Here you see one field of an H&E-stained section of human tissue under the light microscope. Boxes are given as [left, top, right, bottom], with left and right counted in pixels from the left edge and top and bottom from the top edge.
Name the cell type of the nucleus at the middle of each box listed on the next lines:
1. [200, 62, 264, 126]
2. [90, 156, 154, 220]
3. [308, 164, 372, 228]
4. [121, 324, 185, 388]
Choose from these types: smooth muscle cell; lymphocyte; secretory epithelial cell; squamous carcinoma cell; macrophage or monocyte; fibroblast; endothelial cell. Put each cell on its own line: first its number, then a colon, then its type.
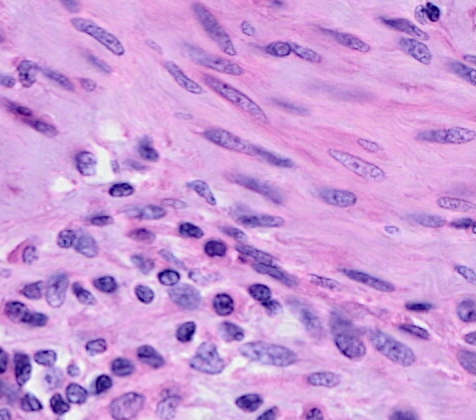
1: smooth muscle cell
2: lymphocyte
3: smooth muscle cell
4: lymphocyte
